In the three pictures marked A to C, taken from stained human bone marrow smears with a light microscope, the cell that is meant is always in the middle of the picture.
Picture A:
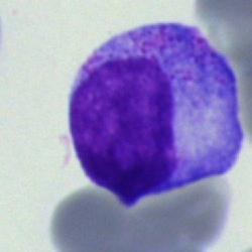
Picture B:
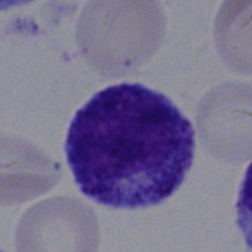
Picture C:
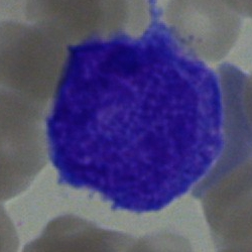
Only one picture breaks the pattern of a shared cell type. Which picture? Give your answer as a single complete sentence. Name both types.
Picture C is the odd one out: it shows a blast, while the others show promyelocytes.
